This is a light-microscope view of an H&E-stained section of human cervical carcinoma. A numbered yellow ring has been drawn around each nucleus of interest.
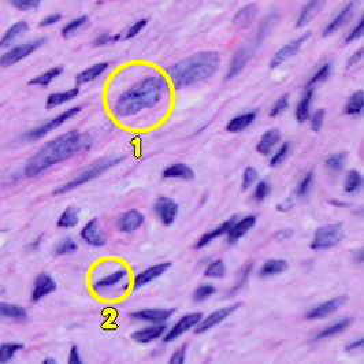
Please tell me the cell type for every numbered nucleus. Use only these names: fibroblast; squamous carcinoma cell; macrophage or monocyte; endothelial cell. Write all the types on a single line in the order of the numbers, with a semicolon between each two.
endothelial cell; fibroblast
